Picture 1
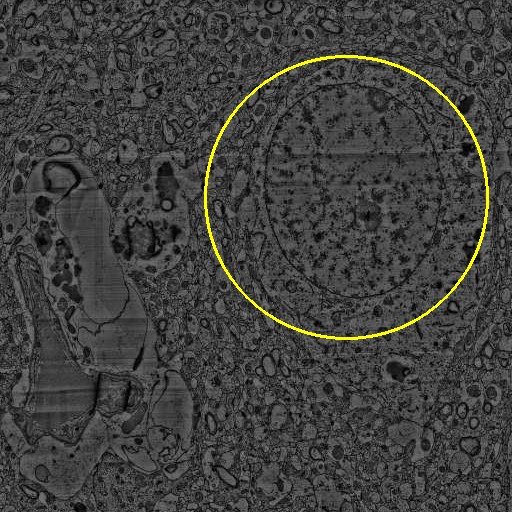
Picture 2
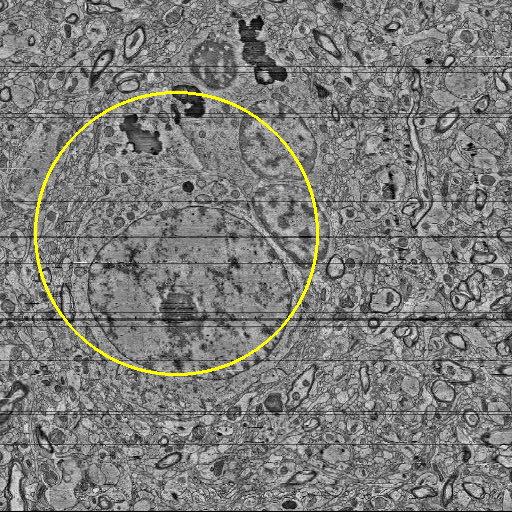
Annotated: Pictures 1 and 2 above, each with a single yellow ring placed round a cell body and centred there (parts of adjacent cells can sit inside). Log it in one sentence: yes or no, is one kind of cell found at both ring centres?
Yes, the ring centres of the two pictures hold cells of one kind.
